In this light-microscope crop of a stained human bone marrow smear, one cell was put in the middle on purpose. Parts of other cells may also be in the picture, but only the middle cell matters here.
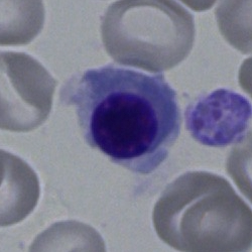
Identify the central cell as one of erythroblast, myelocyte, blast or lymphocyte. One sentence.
At the crop's centre, the cell is an erythroblast.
